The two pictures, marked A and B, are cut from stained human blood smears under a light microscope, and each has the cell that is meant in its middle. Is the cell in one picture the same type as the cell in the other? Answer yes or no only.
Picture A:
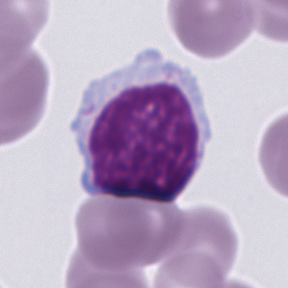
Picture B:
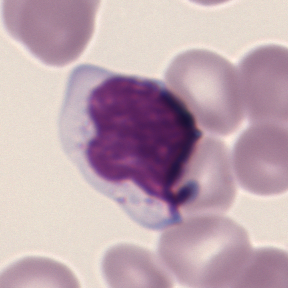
yes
